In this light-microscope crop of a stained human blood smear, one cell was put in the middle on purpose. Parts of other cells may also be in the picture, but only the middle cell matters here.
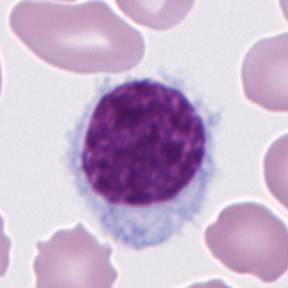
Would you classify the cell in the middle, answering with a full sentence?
The target cell in the middle of the crop is a hairy cell.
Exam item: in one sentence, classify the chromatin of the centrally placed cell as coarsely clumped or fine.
Heads up, the chromatin in this one is coarsely clumped.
